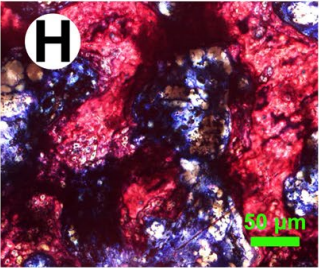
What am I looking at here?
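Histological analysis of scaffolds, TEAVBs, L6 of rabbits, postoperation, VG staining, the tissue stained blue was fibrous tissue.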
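The newly formed bone is the broad red tissue spreading through most of the field, with small cells and their nuclei visible inside it. Scattered through the blue areas are pale, rounded spaces and clusters of small yellowish round bodies. The red tissue forms large continuous bands that enclose the softer blue pockets.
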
